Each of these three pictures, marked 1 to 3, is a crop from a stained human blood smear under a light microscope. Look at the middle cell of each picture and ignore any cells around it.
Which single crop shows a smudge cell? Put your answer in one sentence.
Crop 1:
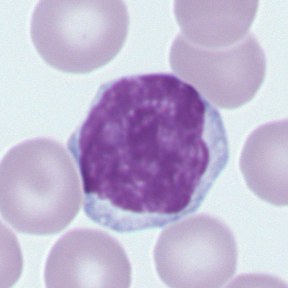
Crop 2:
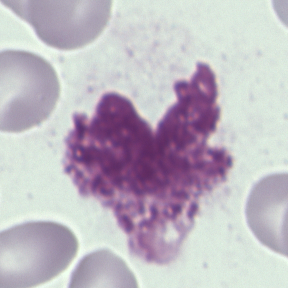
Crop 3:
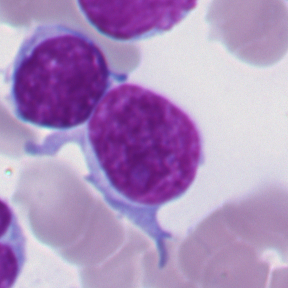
Of the cells presented, the one in crop 2 is a smudge cell.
